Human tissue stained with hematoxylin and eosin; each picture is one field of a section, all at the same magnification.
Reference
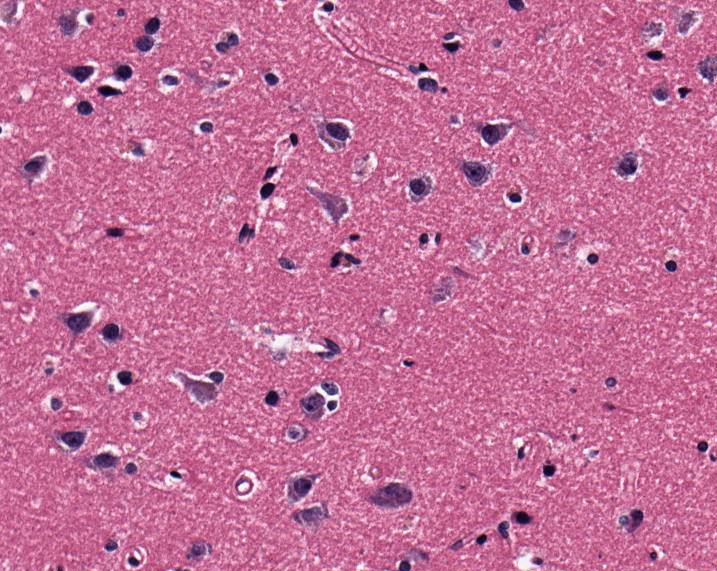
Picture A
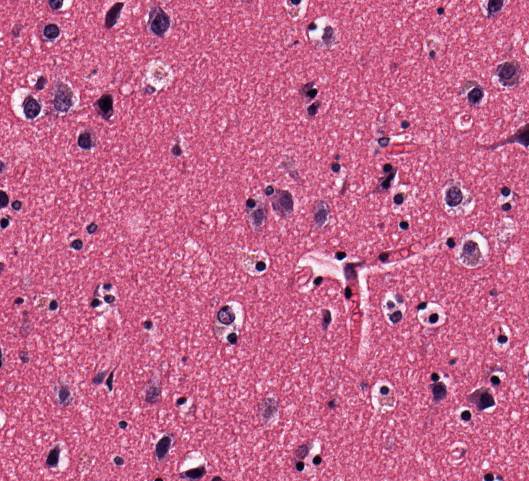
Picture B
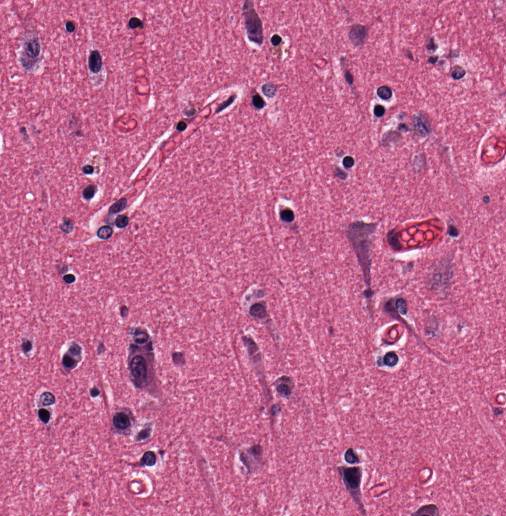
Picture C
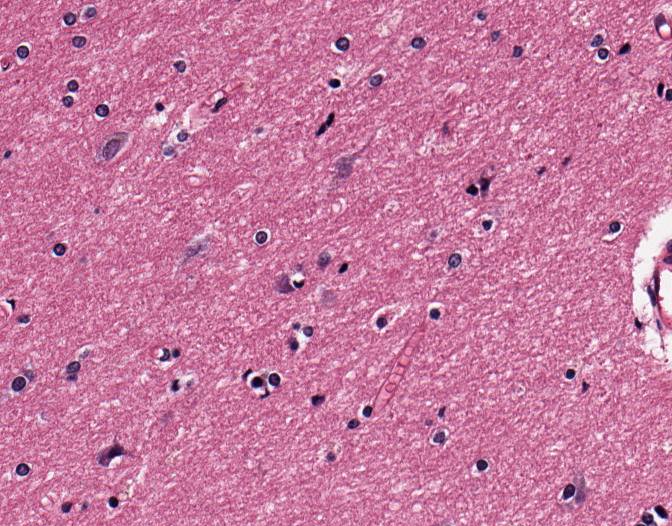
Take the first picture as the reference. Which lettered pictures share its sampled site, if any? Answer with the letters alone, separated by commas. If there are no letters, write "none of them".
A, B, C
